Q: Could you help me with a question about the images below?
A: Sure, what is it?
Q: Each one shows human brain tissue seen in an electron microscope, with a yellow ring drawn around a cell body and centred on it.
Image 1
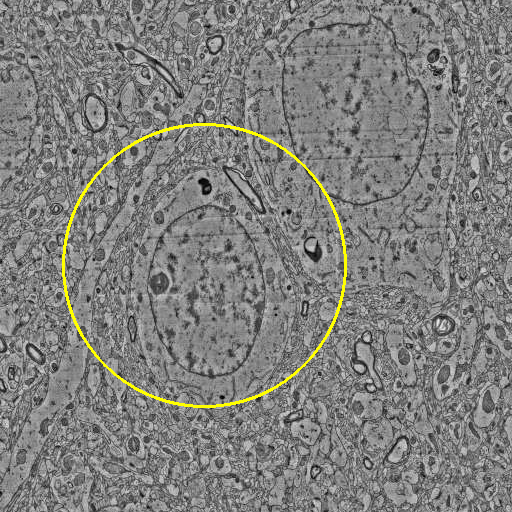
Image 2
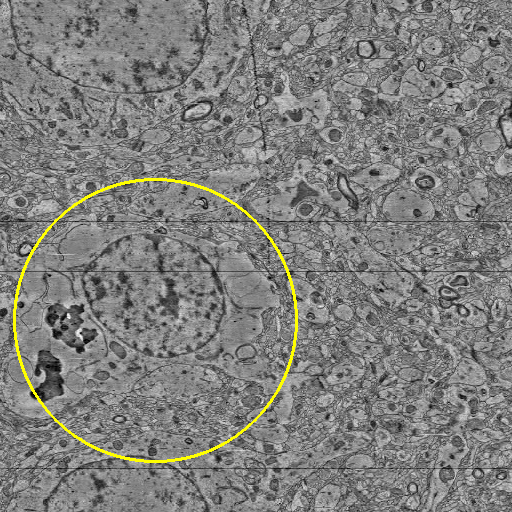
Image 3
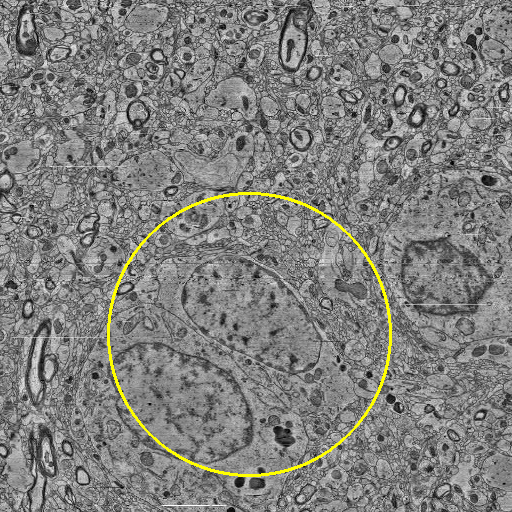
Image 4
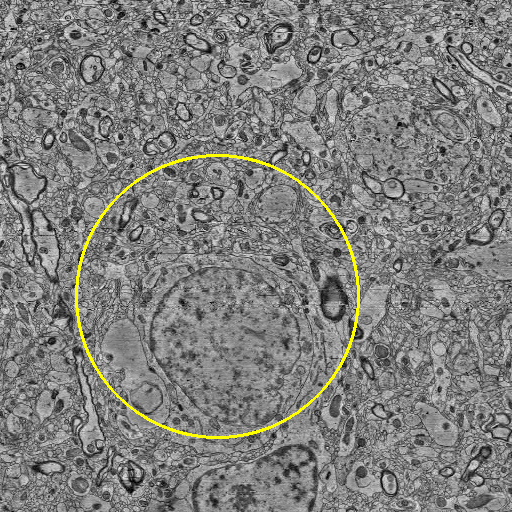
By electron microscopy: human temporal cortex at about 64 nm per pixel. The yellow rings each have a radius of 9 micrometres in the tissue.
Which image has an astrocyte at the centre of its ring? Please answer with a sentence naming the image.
Image 2 has it at the centre of its ring.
